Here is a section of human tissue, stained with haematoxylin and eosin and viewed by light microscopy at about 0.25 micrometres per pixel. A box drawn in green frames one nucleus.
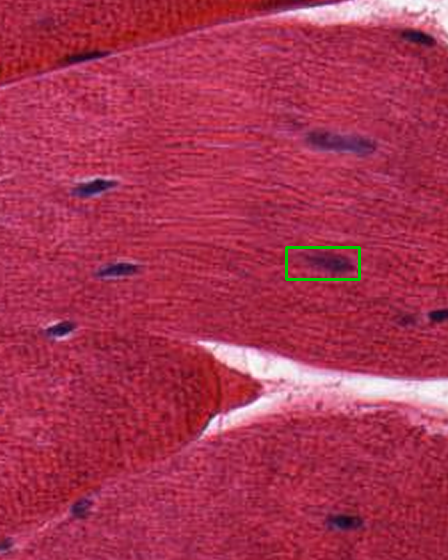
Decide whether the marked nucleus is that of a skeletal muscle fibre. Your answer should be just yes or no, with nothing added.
yes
